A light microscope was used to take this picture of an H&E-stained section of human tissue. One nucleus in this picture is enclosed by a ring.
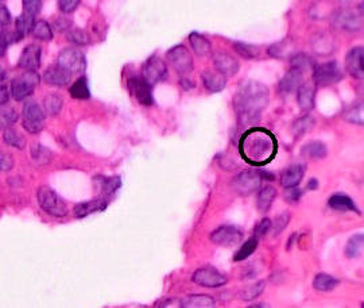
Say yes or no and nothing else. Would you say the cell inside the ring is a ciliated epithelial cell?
yes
